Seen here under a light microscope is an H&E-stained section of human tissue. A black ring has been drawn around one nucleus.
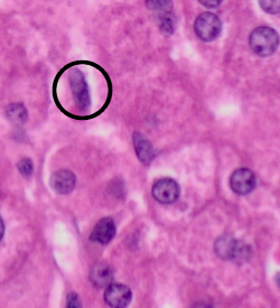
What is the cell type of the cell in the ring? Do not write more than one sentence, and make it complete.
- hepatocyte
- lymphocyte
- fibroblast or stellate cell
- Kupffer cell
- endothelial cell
In this section of tissue, the cell in the ring is a Kupffer cell.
